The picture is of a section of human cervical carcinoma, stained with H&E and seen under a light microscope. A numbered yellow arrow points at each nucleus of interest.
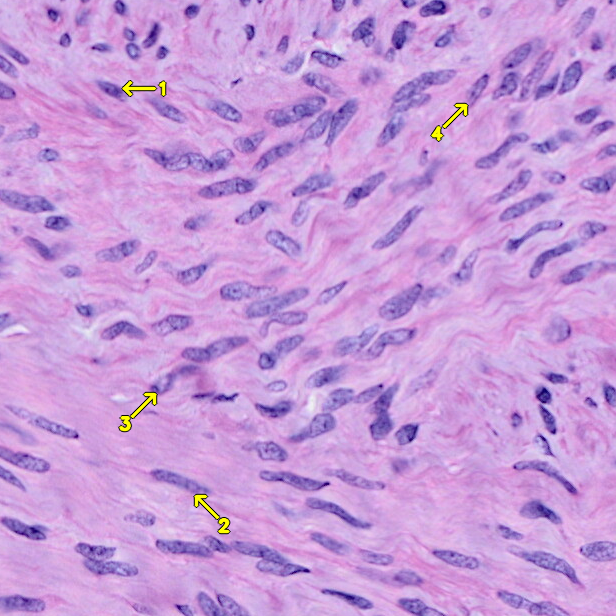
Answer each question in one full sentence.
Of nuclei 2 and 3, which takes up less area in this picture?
Number 3 is smaller, since number 2 takes up about 2 times as much area.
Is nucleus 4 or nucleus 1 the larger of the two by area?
Nucleus 4 is larger, with an area about 1.5 times that of nucleus 1.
